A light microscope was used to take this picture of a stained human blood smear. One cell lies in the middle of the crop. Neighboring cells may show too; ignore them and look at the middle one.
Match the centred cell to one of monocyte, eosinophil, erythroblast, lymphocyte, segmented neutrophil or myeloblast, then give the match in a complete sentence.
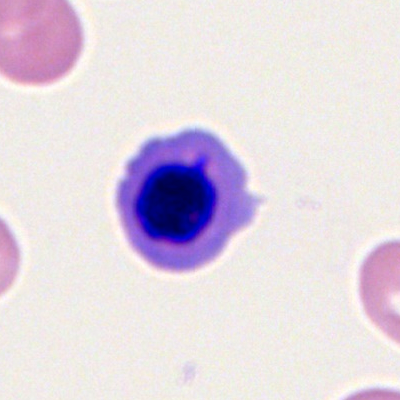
The cell featured at the centre of this crop is an erythroblast.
